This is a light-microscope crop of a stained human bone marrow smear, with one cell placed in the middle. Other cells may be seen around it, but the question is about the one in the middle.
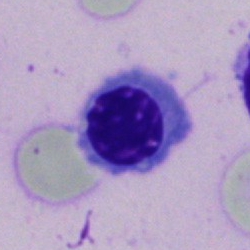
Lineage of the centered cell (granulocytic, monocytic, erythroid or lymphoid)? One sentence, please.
The central cell originates in the erythroid lineage.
